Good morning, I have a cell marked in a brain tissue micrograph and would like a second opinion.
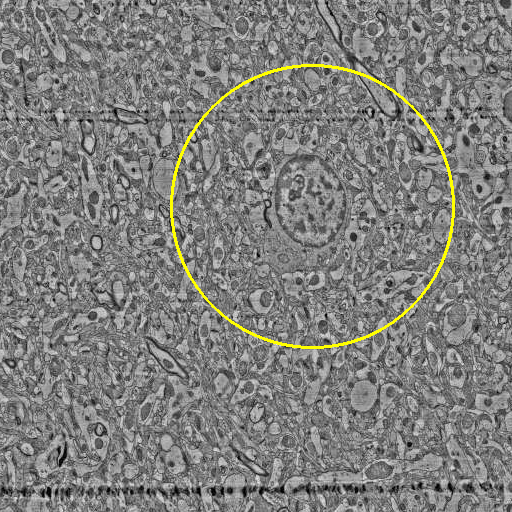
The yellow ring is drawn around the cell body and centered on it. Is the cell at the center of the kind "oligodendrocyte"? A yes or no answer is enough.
yes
